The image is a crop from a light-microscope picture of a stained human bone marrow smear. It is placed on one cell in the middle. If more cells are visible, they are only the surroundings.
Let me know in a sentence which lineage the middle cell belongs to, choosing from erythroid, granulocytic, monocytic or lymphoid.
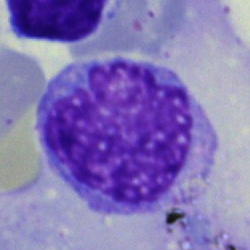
In this crop the cell in the center is part of the monocytic lineage.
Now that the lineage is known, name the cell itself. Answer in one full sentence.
At the middle of the frame sits a monocyte.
